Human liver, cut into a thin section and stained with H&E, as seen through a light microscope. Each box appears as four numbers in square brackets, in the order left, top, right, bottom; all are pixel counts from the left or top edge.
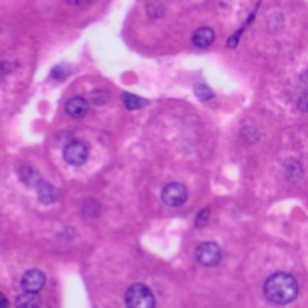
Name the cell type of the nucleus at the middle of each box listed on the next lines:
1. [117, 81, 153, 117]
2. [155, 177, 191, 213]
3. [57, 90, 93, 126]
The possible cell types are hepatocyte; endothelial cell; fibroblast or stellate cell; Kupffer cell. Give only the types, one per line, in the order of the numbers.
fibroblast or stellate cell
hepatocyte
hepatocyte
